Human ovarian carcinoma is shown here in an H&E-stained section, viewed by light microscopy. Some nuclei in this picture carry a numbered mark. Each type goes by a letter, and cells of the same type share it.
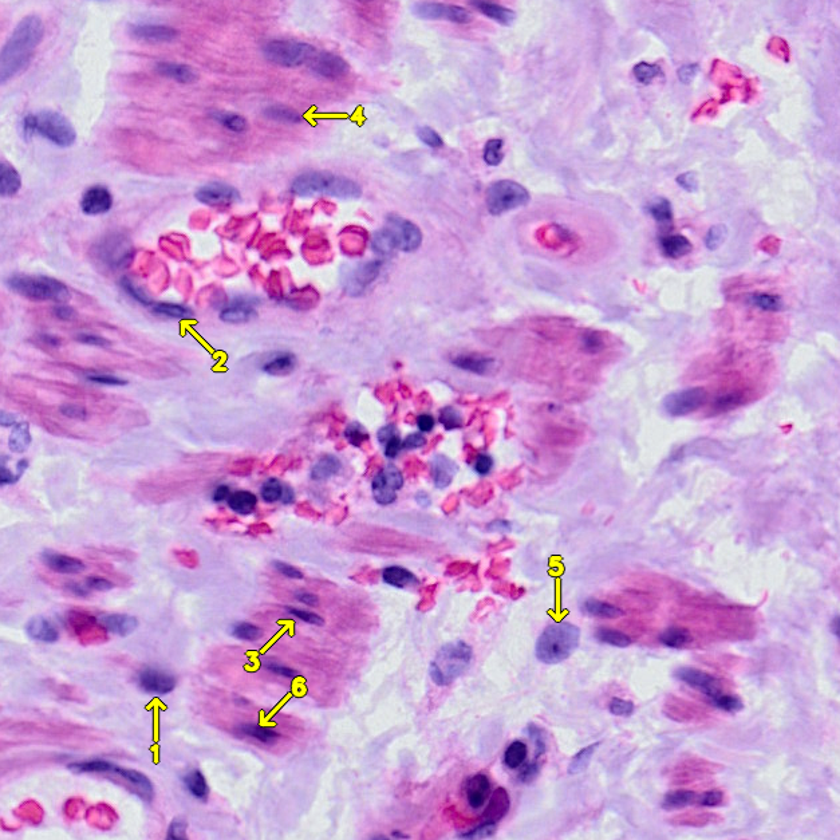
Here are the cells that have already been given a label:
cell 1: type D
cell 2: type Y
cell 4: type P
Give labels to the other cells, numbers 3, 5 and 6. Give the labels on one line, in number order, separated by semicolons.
type P; type D; type P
